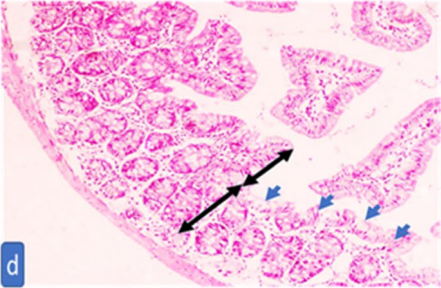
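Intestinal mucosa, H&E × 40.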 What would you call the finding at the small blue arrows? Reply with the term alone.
Blunting of villi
